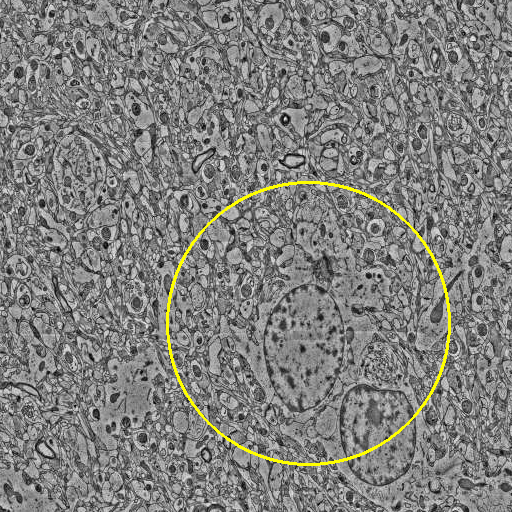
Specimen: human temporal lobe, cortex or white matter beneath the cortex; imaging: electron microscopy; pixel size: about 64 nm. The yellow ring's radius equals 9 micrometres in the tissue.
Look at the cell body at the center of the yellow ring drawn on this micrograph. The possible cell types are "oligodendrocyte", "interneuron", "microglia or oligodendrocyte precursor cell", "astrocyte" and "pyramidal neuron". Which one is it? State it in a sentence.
The cell in the middle of the ring is an astrocyte.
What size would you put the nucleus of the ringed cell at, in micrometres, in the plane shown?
Roughly 8 micrometres long and 5 micrometres wide; in this plane the nucleus is clearly longer than it is wide.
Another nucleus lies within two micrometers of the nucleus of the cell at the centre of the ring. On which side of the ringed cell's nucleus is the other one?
The other nucleus is situated to the lower right of it.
